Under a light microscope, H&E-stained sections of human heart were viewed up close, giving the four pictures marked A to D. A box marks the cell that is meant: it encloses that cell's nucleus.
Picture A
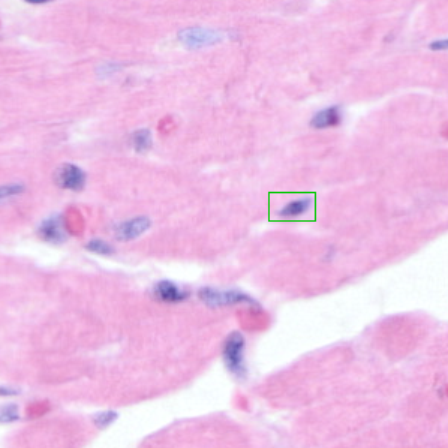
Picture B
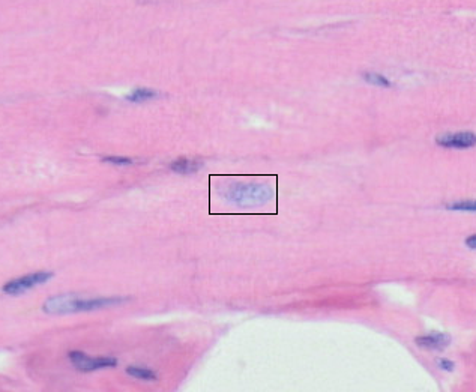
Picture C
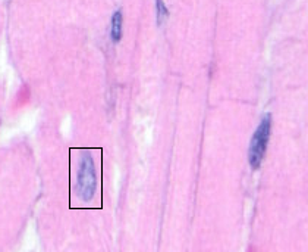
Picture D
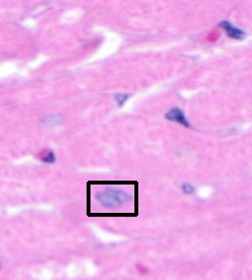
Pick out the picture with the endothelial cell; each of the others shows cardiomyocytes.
A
